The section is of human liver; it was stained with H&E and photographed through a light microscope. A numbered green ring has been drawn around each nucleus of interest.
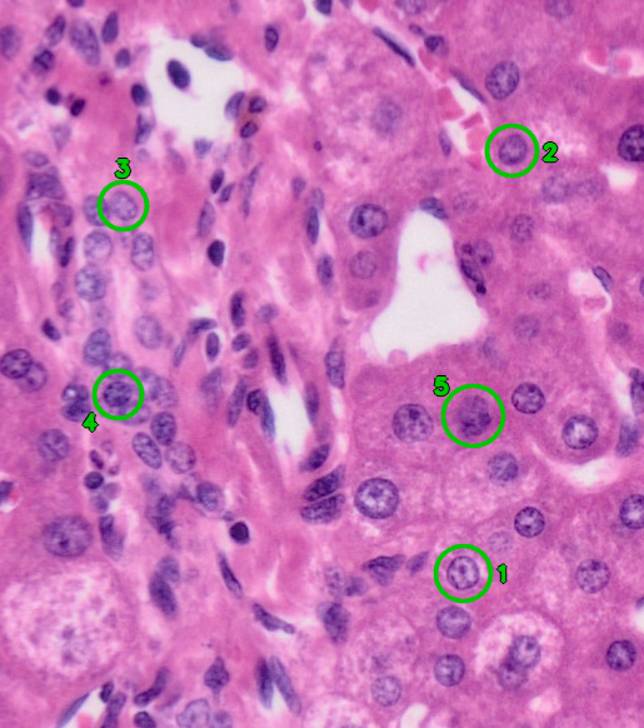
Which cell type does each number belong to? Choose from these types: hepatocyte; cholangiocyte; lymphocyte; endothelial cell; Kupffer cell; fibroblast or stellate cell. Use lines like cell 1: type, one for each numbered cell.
cell 1: hepatocyte
cell 2: hepatocyte
cell 3: cholangiocyte
cell 4: cholangiocyte
cell 5: hepatocyte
